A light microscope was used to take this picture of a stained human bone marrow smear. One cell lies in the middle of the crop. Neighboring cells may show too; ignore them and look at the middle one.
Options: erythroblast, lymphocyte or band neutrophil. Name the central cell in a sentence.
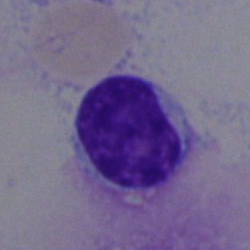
The central cell in this smear crop is a lymphocyte.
